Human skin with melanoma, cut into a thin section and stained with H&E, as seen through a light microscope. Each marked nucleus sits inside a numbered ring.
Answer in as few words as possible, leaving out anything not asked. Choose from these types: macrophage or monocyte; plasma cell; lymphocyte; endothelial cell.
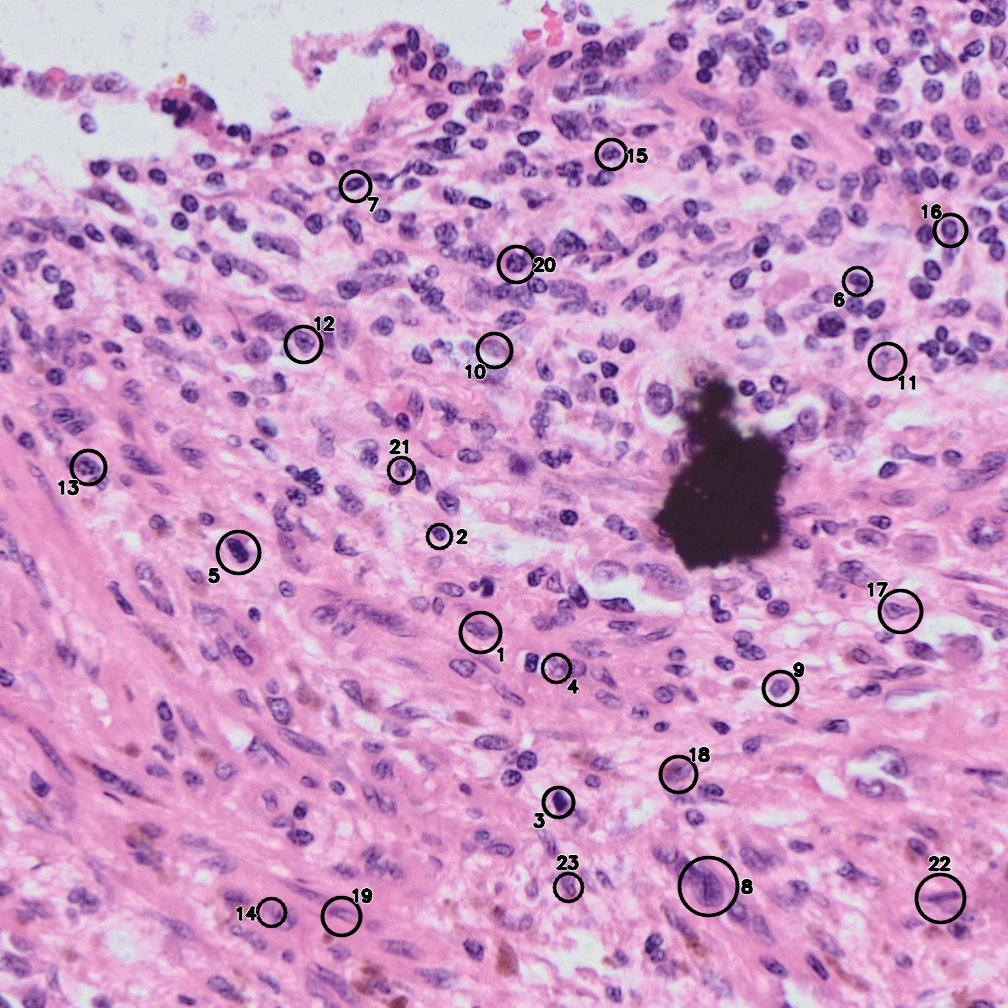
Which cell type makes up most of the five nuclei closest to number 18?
lymphocyte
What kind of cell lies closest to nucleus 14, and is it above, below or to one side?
an endothelial cell; to the right of nucleus 14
